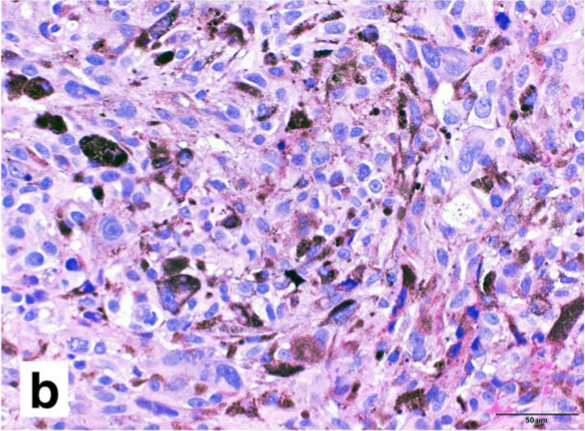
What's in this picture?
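Tumour cells of a pigmented tumour, loosely arranged, many of them spindled or polygonal, with pale pink cytoplasm and oval blue nuclei, some with visible nucleoli. Scattered cells carry dark brown to black granular pigment in their cytoplasm, ranging from fine dusting to dense clumps that obscure the cell outline. Pigmented and non-pigmented cells are intermixed without clear pattern. Nuclear size varies between cells, and a few larger, irregular nuclei stand out. The background stroma is pale and loose between the cells.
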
